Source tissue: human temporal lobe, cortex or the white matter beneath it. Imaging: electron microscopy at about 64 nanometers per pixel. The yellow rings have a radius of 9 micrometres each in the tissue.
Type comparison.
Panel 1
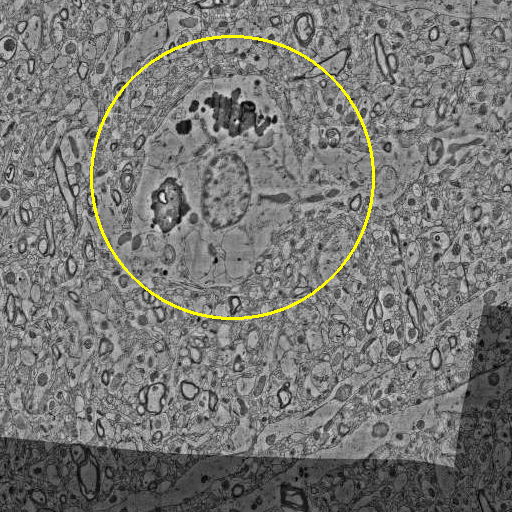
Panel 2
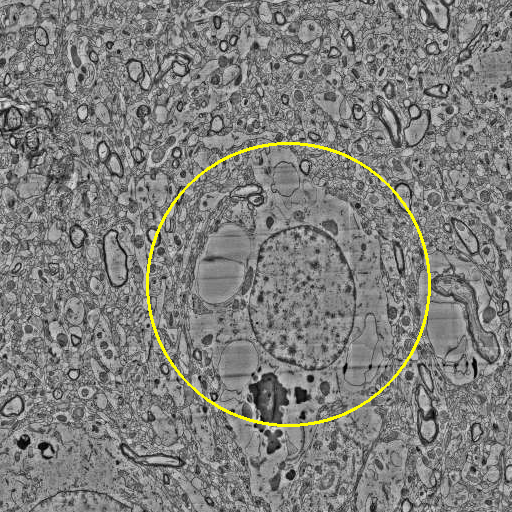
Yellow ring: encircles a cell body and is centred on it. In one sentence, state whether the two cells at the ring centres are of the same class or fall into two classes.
In these panels, the two cells at the ring centres are of the same class.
